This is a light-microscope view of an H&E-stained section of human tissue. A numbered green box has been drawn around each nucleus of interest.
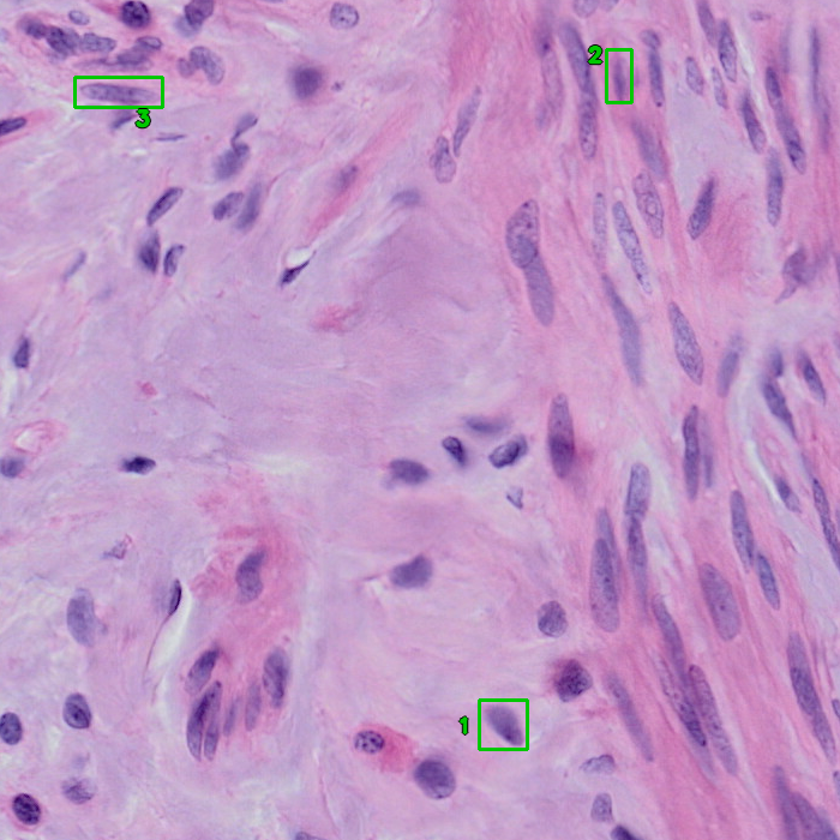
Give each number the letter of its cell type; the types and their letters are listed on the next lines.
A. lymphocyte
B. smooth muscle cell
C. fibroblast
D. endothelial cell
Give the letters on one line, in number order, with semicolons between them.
C; B; B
